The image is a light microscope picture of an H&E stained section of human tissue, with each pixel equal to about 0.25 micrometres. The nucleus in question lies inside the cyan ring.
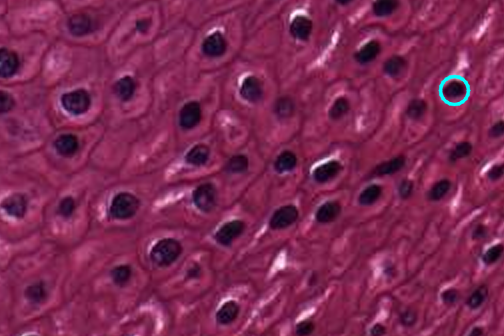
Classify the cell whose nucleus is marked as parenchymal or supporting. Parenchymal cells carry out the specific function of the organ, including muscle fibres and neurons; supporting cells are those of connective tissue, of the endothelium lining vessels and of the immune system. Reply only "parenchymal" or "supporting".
parenchymal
